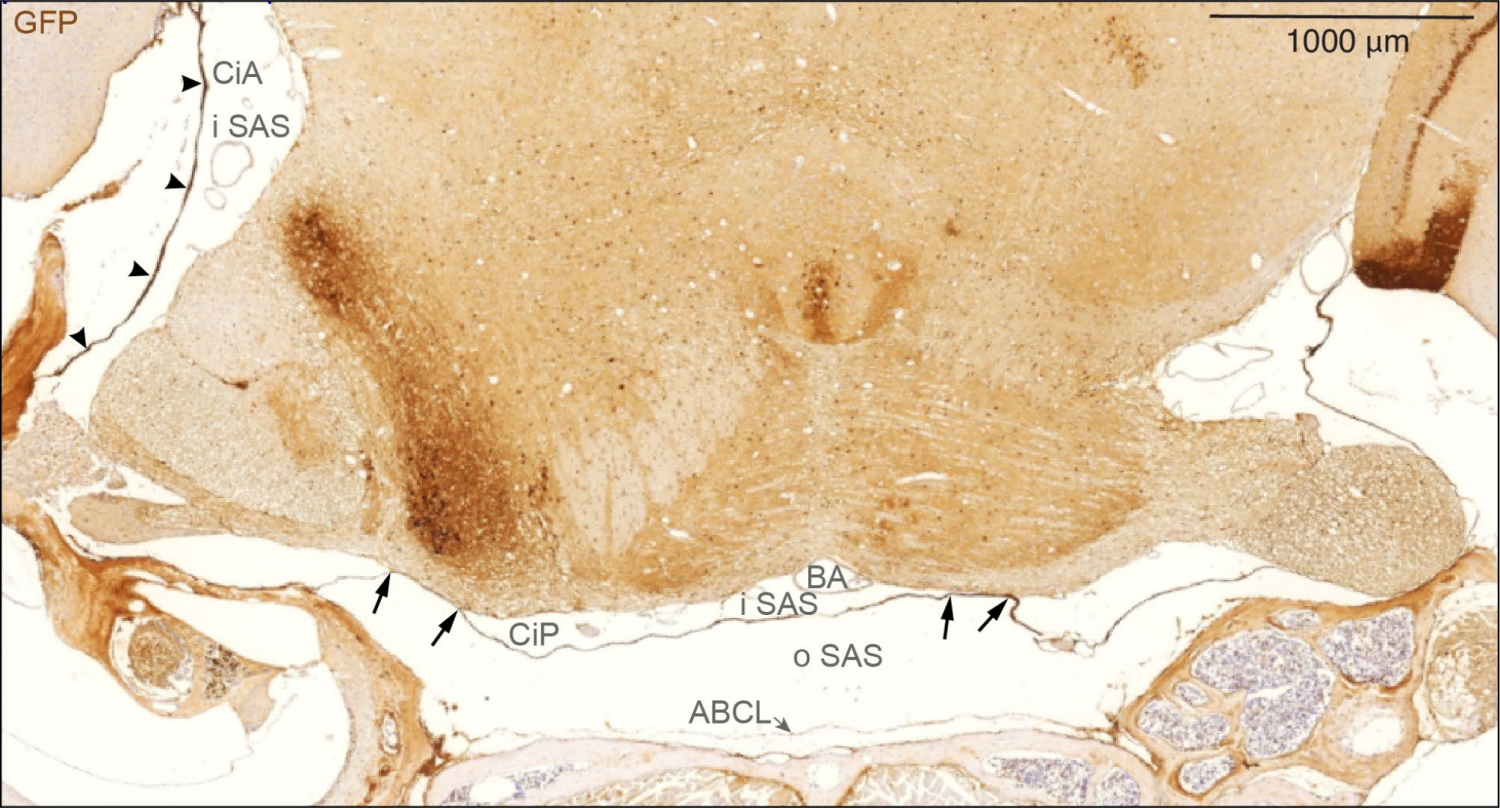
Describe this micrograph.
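Coronal section of the pons with its covering meninges and the surrounding skull base, stained light to dark brown on a pale background. The parenchyma shows fibre bundles sweeping across its ventral part, a darker brown band of tissue on one side, and a darker spot near the midline. Beneath the ventral surface, a thin, continuous brown membrane runs parallel to the brain and divides the fluid space below it into an inner space next to the brain, which holds a cross-sectioned artery, and a wider outer space above a thin layer that lines the bone. At the ventrolateral edges, this membrane meets the brain surface, and a strongly brown thin membrane also runs along the lateral surface at the upper left.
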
